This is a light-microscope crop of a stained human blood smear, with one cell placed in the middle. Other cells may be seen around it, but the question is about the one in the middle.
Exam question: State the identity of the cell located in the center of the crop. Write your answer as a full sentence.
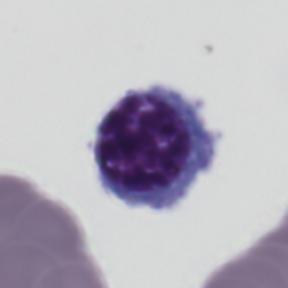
Among the cells in view, the one in the middle is a plasma cell.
